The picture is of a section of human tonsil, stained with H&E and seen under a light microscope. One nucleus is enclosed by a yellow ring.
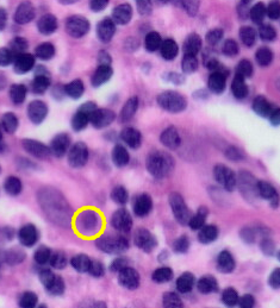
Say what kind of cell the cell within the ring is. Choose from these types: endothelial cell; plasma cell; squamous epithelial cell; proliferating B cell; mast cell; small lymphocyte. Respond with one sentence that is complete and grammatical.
As a matter of cell type, the cell within the ring is an endothelial cell.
